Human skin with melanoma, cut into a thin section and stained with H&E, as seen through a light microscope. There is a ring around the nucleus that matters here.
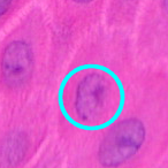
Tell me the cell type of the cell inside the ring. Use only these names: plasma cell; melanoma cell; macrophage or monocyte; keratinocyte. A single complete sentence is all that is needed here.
In the tissue under study, the cell inside the ring is a keratinocyte.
